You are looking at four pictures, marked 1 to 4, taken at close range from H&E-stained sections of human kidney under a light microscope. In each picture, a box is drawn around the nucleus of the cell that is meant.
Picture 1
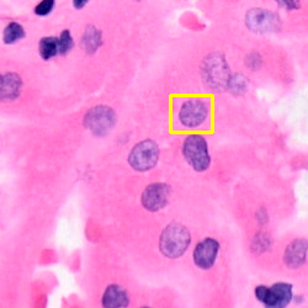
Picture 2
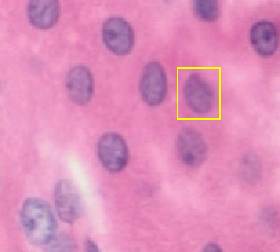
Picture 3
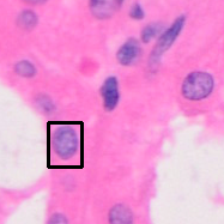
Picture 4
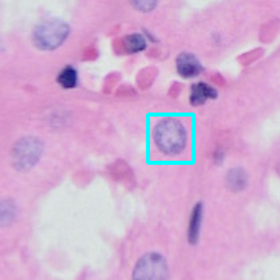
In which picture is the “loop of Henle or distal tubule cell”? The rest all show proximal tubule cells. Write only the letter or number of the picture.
3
